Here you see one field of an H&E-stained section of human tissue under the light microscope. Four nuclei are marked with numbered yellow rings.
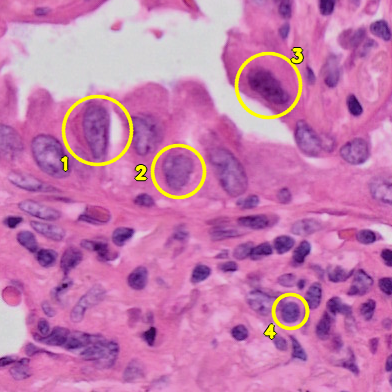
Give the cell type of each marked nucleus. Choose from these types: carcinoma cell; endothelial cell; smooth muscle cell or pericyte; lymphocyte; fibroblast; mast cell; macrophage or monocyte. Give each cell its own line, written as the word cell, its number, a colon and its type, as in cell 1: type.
cell 1: carcinoma cell
cell 2: carcinoma cell
cell 3: carcinoma cell
cell 4: lymphocyte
